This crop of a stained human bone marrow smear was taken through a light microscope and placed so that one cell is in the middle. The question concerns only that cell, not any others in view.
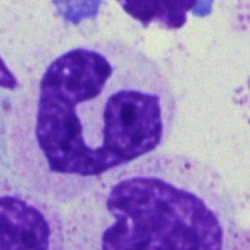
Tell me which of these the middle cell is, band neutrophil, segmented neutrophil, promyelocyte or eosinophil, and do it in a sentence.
The cell at the central position in this crop is a segmented neutrophil.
